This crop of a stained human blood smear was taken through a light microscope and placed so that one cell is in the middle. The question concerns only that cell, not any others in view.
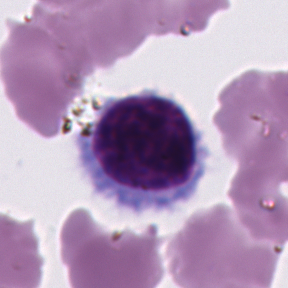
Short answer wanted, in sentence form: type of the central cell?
Of the cells in this crop, the central one is a hairy cell.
